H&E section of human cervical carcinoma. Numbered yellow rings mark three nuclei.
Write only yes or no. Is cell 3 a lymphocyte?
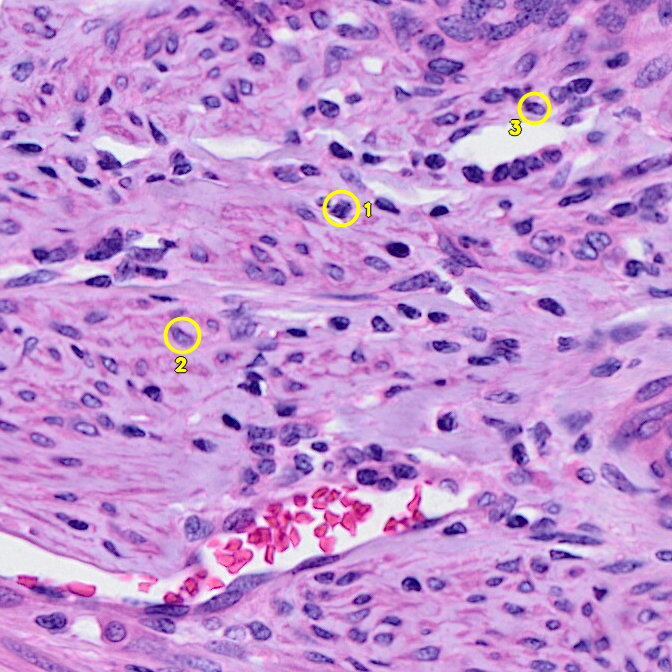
yes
